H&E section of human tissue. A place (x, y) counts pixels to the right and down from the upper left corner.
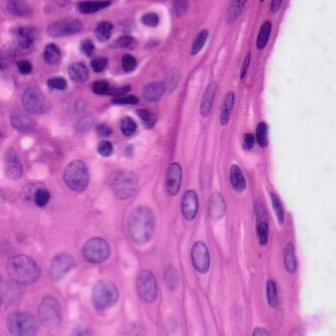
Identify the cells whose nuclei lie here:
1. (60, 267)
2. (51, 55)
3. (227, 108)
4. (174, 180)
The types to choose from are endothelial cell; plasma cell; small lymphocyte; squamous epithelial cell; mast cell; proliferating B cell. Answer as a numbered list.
1. squamous epithelial cell
2. plasma cell
3. squamous epithelial cell
4. squamous epithelial cell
